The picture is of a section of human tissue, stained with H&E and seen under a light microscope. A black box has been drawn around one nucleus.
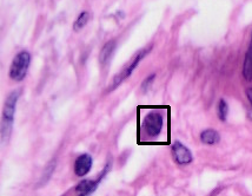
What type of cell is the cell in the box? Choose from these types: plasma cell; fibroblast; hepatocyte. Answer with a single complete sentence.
The cell in the box appears to be a plasma cell.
